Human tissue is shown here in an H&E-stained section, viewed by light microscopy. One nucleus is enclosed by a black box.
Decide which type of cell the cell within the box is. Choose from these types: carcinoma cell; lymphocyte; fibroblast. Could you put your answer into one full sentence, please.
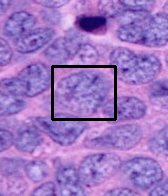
On this particular slide, the cell within the box is a carcinoma cell.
